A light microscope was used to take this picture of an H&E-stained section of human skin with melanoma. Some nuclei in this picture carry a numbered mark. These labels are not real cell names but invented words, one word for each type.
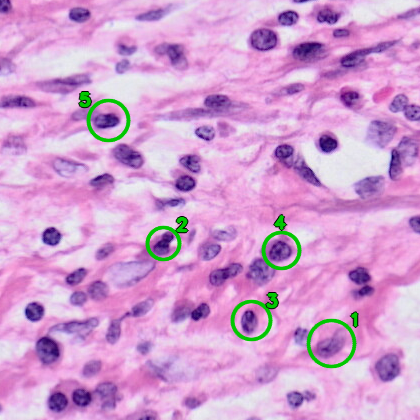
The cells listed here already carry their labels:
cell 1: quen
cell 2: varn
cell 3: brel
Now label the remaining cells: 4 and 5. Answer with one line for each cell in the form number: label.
4: varn
5: brel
